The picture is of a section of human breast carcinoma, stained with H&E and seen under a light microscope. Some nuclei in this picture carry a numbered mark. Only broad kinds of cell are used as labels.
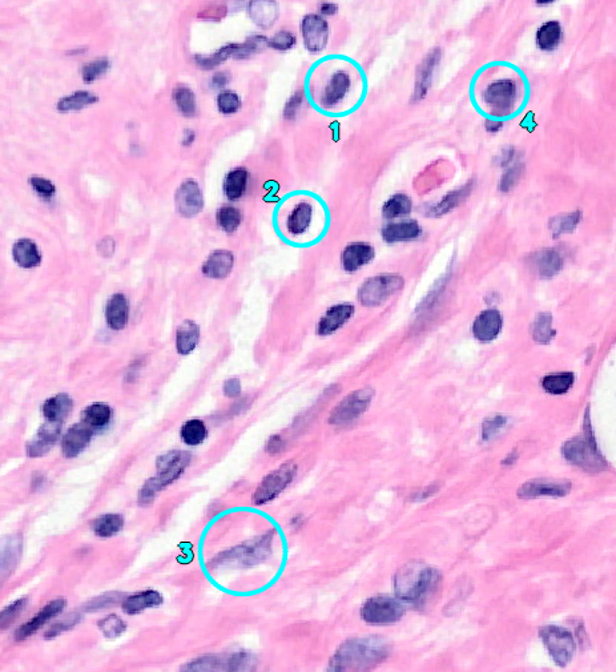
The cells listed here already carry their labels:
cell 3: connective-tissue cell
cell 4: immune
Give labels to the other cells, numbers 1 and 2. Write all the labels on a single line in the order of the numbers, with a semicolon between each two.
immune; immune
